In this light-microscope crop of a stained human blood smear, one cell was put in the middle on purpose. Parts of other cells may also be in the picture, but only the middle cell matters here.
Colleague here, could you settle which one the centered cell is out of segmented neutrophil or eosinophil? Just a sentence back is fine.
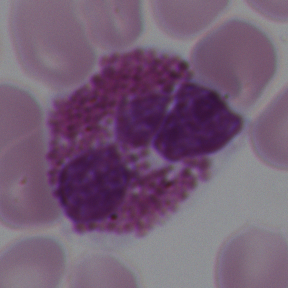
Seen at the centre of the crop is an eosinophil.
